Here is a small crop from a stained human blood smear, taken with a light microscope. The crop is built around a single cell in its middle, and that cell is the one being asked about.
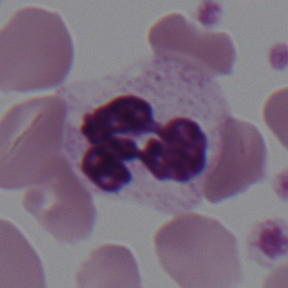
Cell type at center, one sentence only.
The cell occupying the middle of the crop is a segmented neutrophil.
